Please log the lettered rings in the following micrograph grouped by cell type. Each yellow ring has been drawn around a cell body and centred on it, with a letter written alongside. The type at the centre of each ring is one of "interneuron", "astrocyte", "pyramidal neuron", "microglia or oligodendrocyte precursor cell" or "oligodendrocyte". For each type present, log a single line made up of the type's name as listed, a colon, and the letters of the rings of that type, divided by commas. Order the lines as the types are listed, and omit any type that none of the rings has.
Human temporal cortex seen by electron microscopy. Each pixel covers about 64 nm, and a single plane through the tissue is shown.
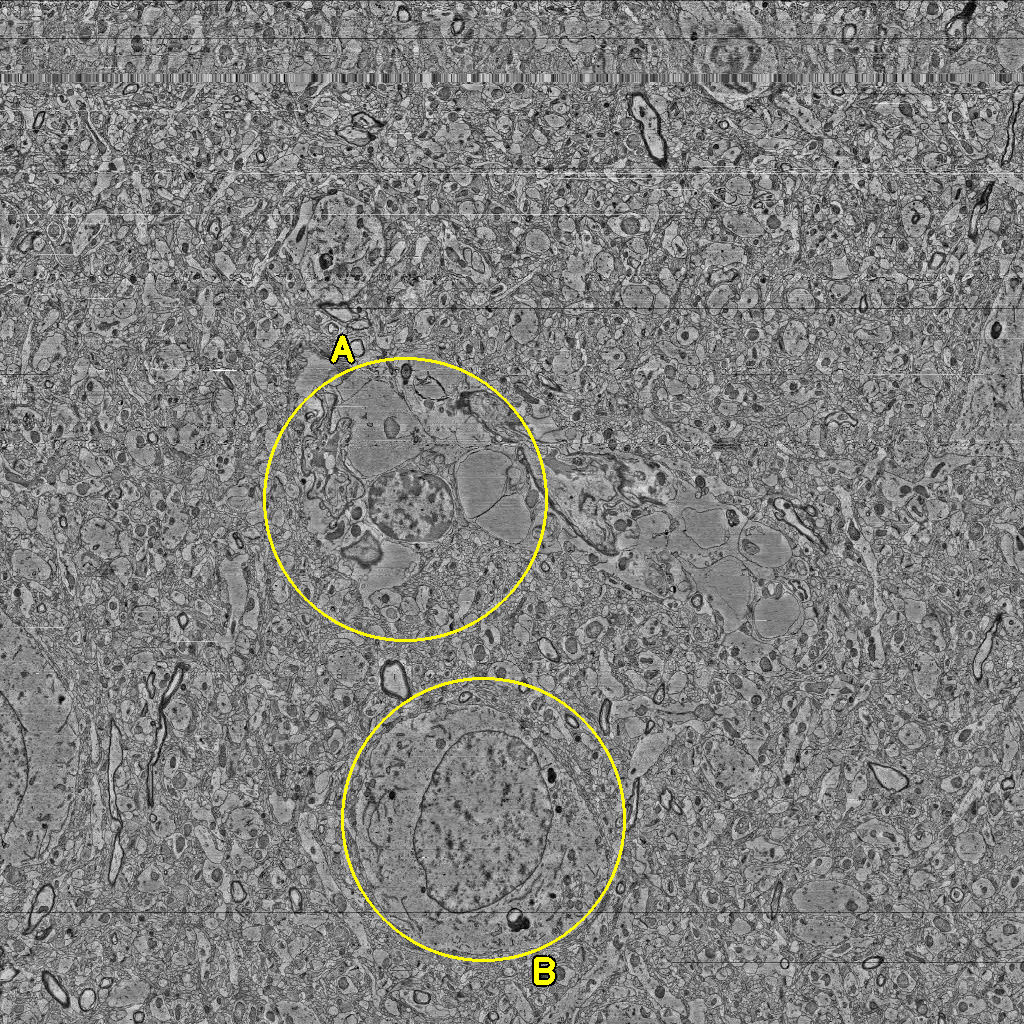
pyramidal neuron: B
microglia or oligodendrocyte precursor cell: A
